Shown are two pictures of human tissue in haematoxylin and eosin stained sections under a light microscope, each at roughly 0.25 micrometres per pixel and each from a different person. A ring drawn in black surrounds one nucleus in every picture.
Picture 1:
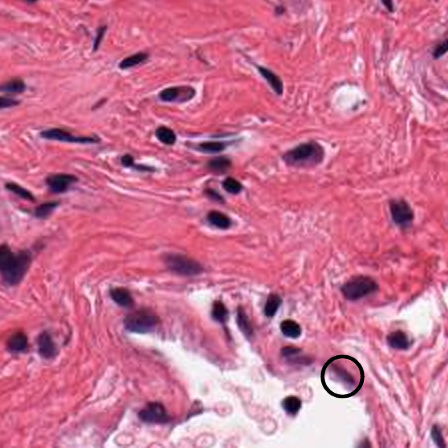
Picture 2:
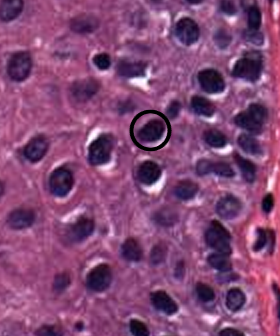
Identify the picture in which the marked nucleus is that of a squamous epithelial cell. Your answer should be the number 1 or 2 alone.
2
